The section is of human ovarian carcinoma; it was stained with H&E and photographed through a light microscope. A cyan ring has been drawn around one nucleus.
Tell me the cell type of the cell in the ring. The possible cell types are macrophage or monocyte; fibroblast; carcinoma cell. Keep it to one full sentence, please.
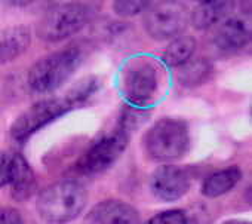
In the stained section, the cell in the ring is a carcinoma cell.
